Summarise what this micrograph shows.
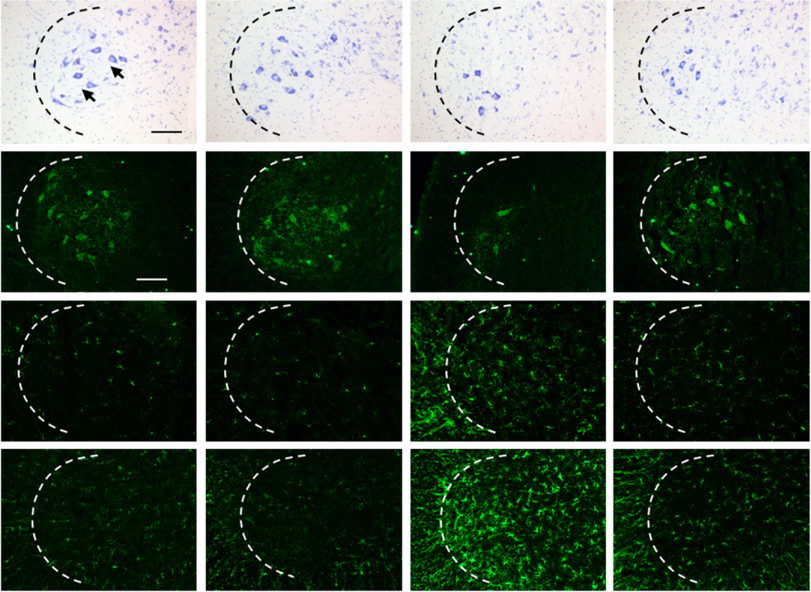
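This block shows the anterior horn of the spinal cord, where large motor neurons lie inside a curved dashed outline. The second row shows large green cell bodies in the same region; they are scarce in the third column. In the third row, small branched green cells are sparsely scattered in most images, but form a dense network in the third column. The bottom row shows star-shaped green cells with fine processes; they make a thick, bright meshwork filling the outlined area in the third column.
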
